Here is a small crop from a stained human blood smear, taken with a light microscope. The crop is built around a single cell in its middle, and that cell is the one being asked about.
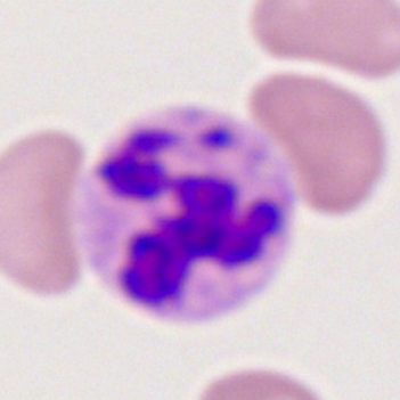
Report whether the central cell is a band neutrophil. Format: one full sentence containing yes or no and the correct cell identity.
No, the cell in the middle is correctly named a segmented neutrophil, not a band neutrophil.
